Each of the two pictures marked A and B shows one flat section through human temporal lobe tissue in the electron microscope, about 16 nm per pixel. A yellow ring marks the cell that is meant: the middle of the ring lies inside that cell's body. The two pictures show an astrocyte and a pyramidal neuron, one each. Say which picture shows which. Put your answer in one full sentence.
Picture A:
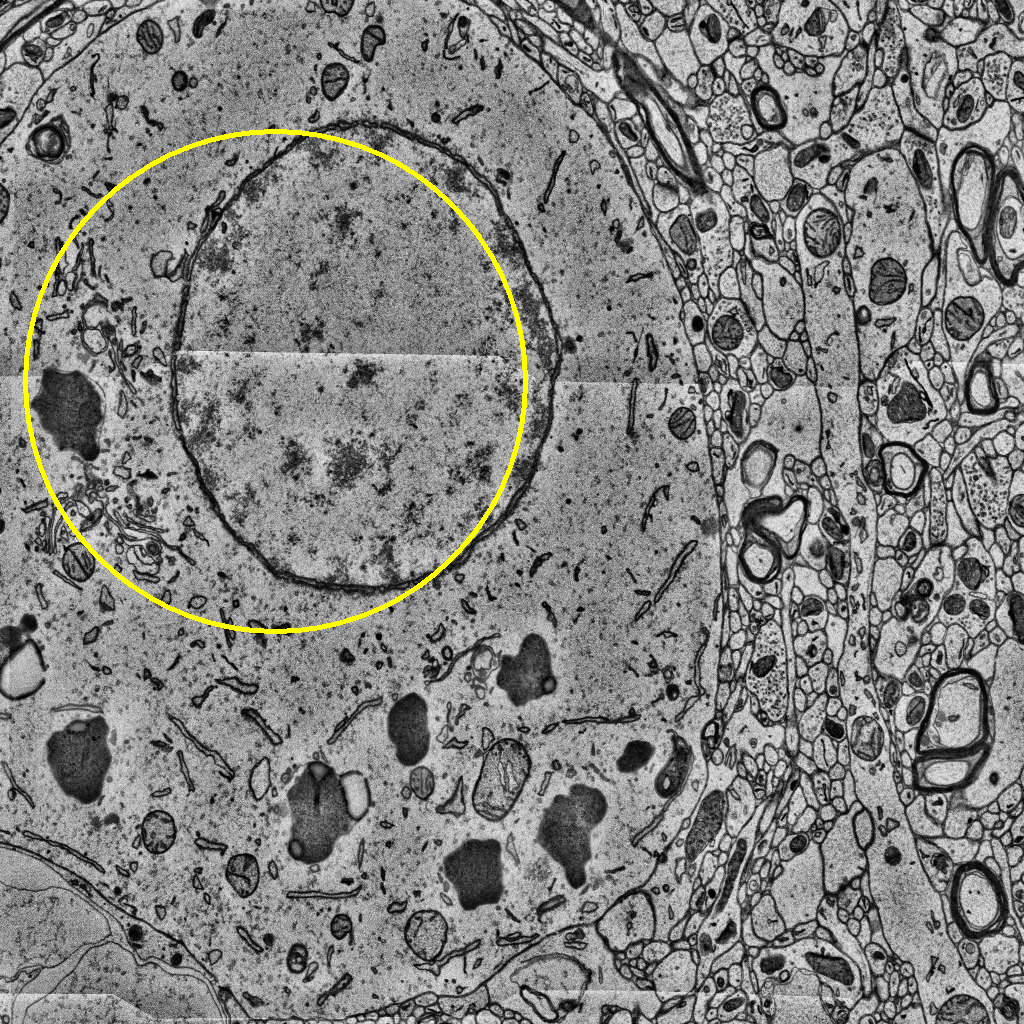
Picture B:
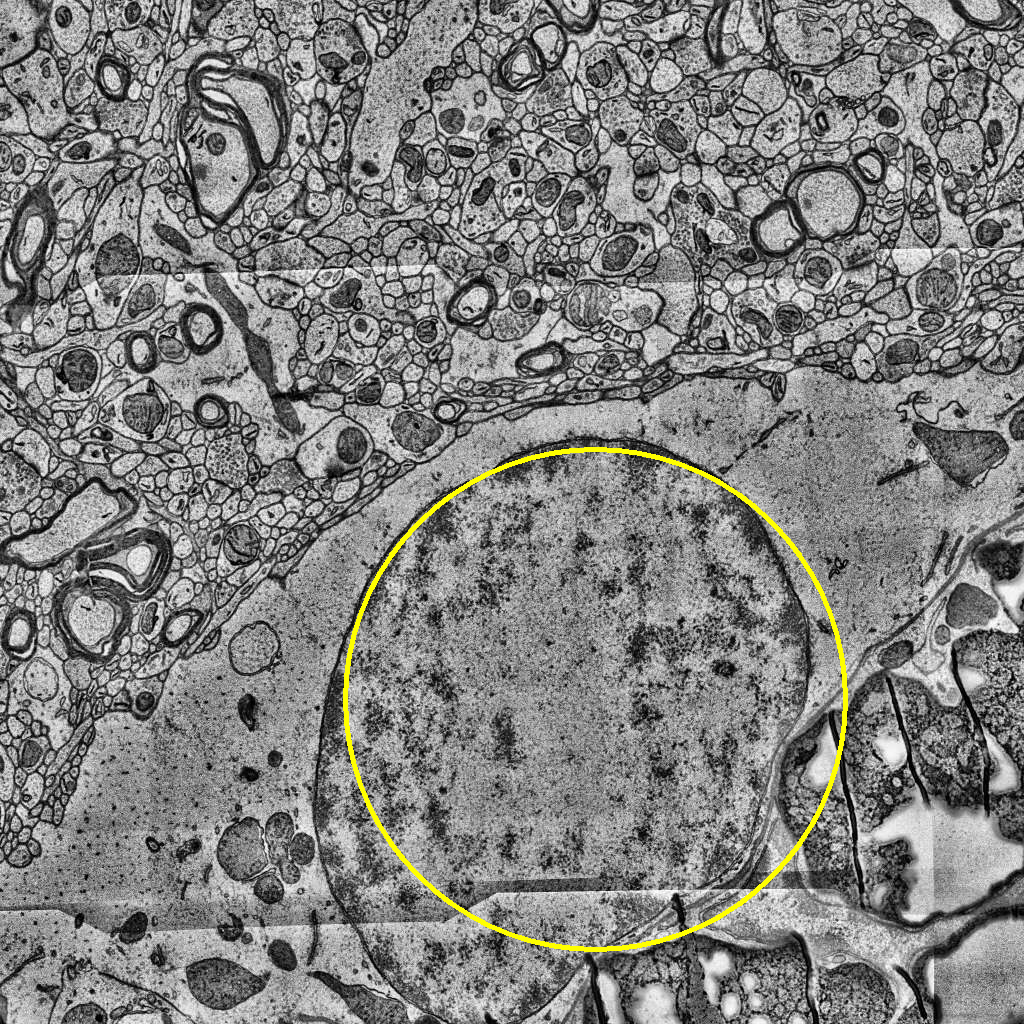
Picture A shows a pyramidal neuron and picture B shows an astrocyte.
